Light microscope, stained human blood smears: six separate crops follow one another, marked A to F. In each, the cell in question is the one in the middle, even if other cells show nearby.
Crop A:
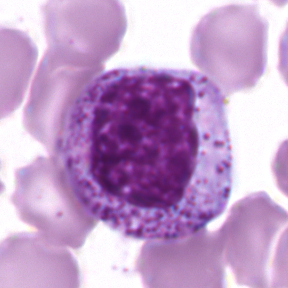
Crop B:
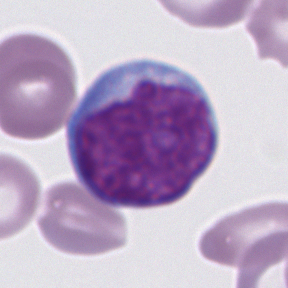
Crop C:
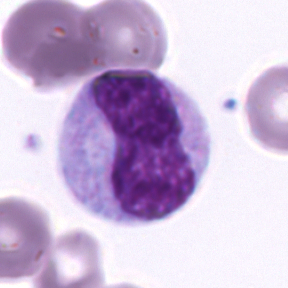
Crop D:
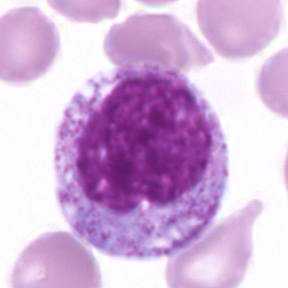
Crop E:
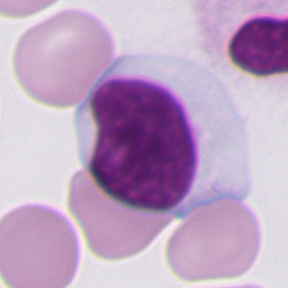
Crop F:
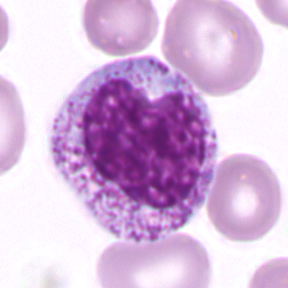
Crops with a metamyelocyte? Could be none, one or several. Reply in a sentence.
As far as the set goes, only crop C shows a metamyelocyte.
